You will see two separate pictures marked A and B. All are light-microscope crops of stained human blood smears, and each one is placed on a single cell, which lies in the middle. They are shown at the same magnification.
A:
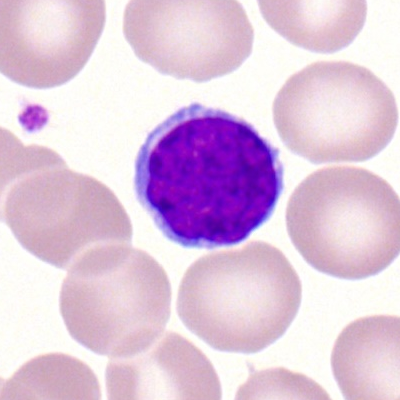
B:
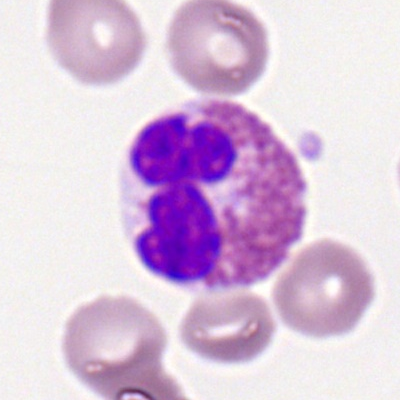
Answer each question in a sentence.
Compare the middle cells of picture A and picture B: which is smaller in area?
Smaller is the cell in picture A, and the other is about 1.5 times as large in area.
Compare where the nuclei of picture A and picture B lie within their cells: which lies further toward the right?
Seen within its cell, the nucleus in picture A lies further toward the right.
